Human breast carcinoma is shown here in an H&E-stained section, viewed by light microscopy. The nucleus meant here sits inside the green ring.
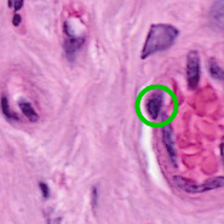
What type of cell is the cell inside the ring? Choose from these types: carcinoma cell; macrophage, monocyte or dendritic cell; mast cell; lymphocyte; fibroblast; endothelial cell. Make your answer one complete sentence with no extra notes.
The cell type of the cell inside the ring is that of an endothelial cell.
